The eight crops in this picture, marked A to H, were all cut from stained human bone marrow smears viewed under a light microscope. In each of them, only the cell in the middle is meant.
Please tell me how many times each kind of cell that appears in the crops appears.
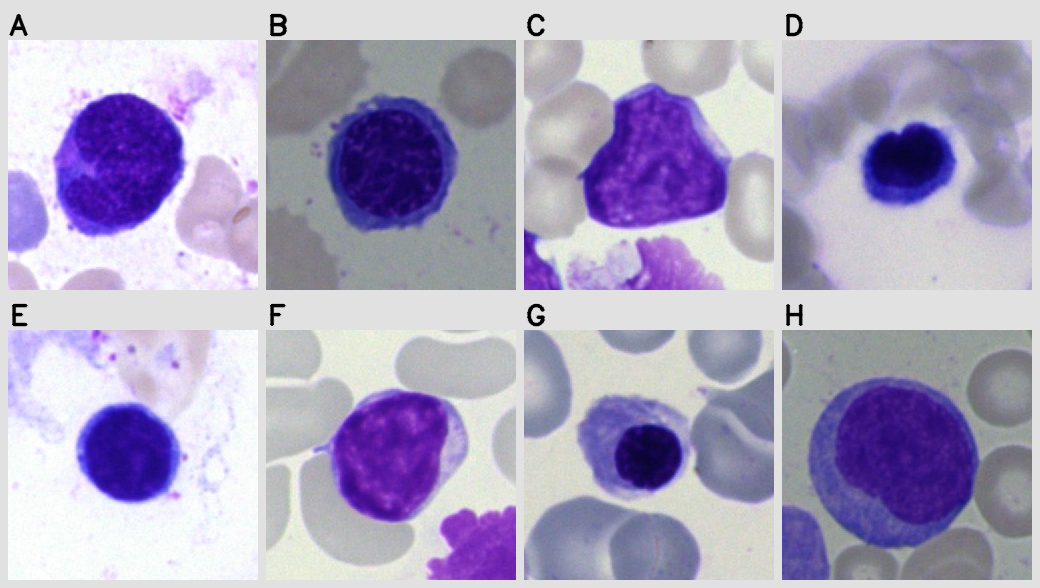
blast: 3
lymphocyte: 3
normoblast: 2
